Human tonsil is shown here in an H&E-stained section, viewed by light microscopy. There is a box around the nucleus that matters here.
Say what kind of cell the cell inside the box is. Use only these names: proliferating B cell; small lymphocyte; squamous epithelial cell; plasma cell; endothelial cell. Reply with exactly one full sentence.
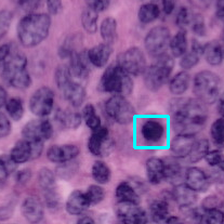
Cell type answer for this item: the cell inside the box is a proliferating B cell.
